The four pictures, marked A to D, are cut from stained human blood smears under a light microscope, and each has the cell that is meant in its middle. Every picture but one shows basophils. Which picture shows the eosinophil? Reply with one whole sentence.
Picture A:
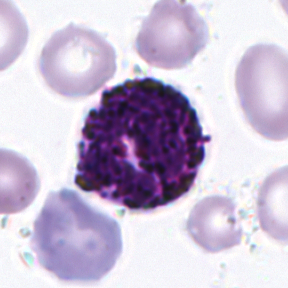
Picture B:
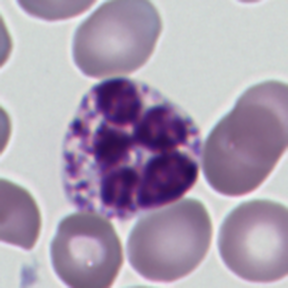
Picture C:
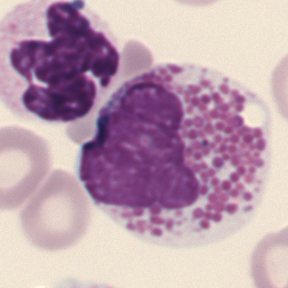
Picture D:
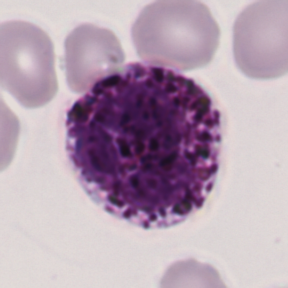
Picture C shows the eosinophil.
